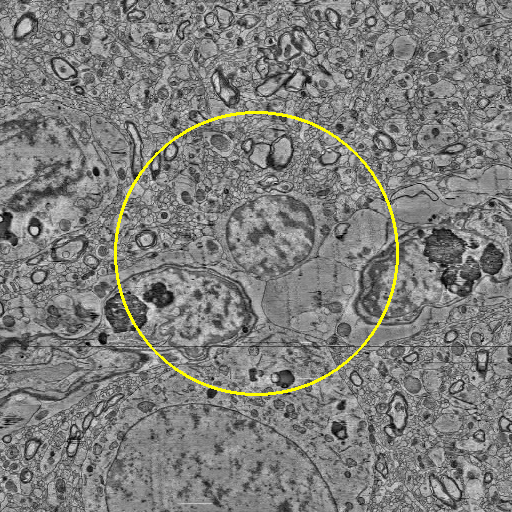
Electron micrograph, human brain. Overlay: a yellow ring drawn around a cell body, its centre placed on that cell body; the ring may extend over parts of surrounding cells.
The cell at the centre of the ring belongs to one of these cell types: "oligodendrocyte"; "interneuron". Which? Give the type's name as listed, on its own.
oligodendrocyte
